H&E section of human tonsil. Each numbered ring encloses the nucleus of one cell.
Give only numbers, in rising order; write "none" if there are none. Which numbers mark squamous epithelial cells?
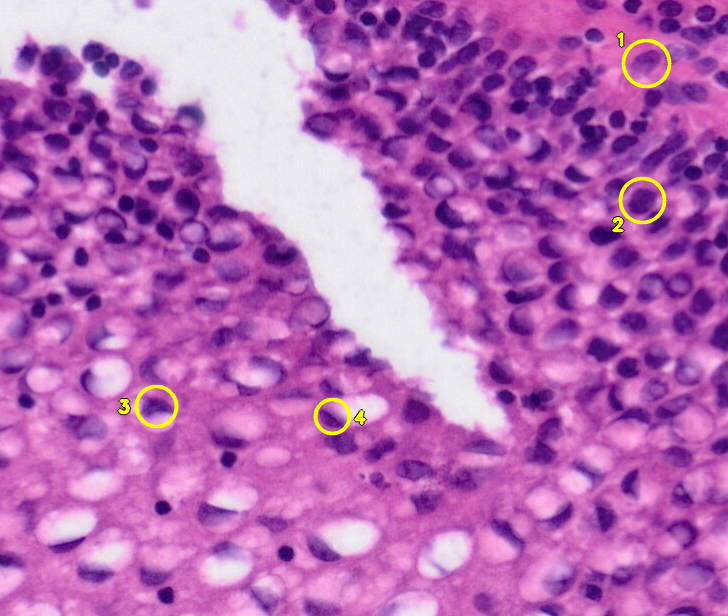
2, 3, 4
